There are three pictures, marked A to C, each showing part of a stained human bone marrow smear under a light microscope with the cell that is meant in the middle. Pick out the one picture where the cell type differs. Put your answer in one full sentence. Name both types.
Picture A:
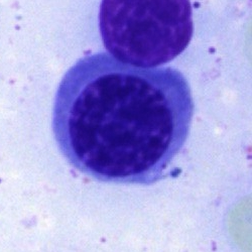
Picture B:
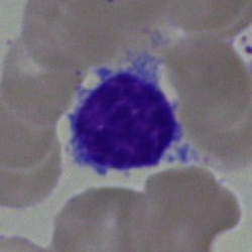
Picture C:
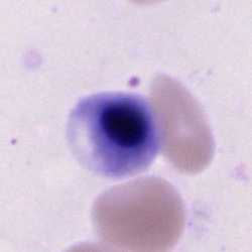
The others show erythroblasts, but picture B shows a lymphocyte.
